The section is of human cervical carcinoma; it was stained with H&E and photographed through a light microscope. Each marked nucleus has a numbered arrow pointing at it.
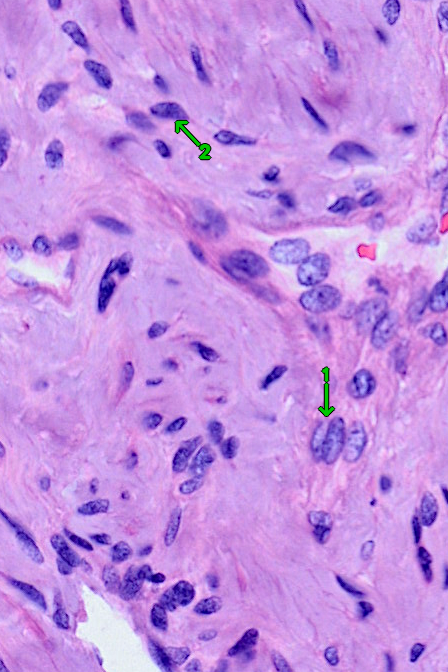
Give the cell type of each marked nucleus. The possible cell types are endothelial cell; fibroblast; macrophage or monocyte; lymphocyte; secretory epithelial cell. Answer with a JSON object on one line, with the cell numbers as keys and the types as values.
{"1": "endothelial cell", "2": "fibroblast"}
